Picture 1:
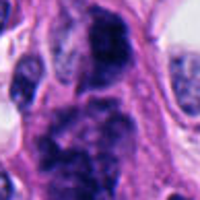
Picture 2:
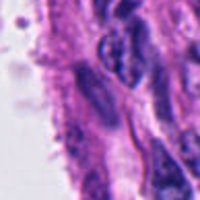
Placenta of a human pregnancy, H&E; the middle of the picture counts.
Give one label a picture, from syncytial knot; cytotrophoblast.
Picture 1: syncytial knot
Picture 2: cytotrophoblast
